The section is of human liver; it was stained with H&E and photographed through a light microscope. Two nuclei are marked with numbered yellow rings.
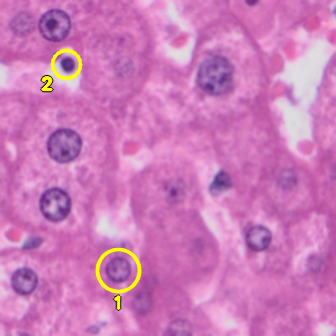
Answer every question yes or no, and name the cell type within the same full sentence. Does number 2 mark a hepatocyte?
No, the cell identified by number 2 is a lymphocyte, not a hepatocyte.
